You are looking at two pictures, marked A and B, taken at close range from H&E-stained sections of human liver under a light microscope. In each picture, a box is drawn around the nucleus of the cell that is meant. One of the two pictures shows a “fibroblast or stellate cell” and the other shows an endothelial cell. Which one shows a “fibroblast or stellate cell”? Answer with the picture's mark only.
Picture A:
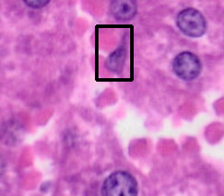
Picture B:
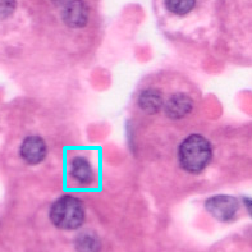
B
